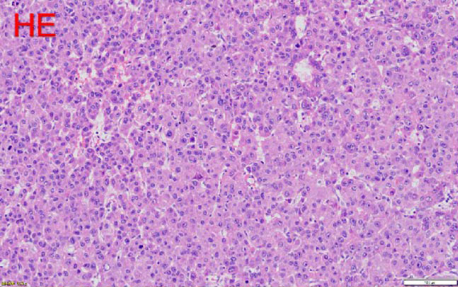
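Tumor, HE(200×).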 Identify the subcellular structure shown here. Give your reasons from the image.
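Eosinophilic cytoplasm. The cytoplasm of the tumor cells is pink. Cells have ample cytoplasm around the nucleus.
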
